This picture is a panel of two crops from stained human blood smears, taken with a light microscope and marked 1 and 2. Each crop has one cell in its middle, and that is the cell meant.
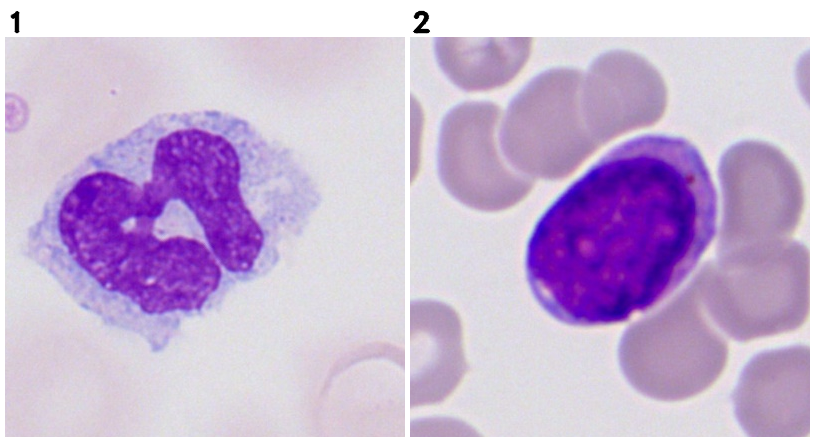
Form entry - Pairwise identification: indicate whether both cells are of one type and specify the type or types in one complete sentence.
No, crop 1 presents a monocyte; crop 2 presents a blast.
